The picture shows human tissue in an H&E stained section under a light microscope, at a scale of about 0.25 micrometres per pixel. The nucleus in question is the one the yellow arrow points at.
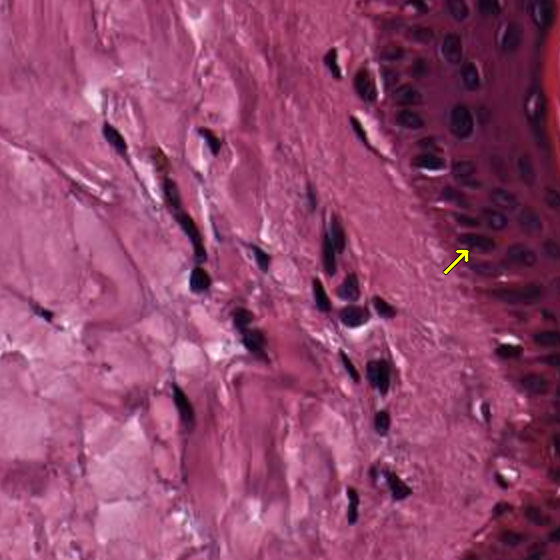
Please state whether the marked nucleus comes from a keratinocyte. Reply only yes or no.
yes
